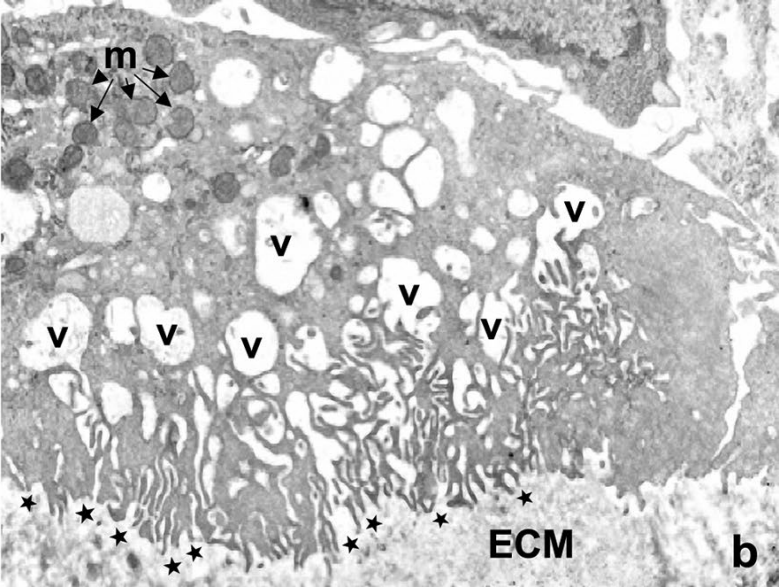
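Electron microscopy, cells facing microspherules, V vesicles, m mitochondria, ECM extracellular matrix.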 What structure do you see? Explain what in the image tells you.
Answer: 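Numerous deep foldings. The lower cell surface is thrown into many long, narrow, branching folds reaching deep into the cytoplasm. The folds connect upward with large clear vacuole-like spaces.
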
